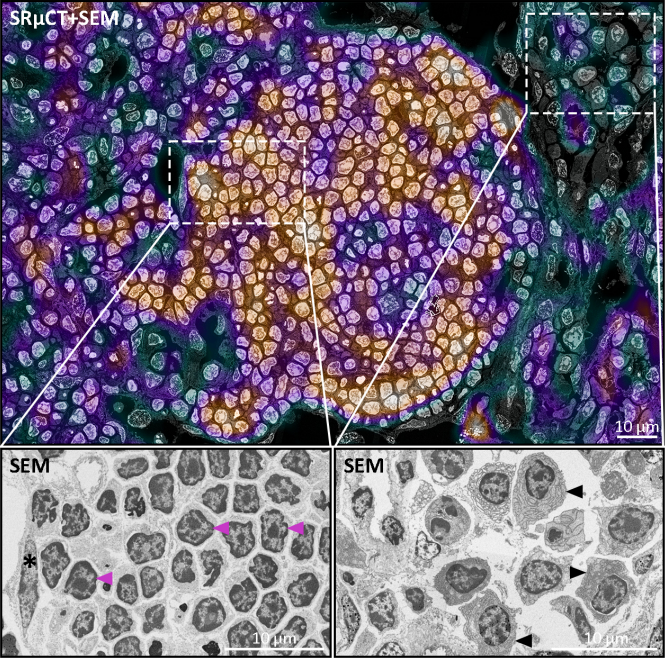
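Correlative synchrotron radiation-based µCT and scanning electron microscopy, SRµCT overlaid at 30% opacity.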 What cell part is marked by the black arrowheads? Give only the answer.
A: Elaborate endoplasmic reticulum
